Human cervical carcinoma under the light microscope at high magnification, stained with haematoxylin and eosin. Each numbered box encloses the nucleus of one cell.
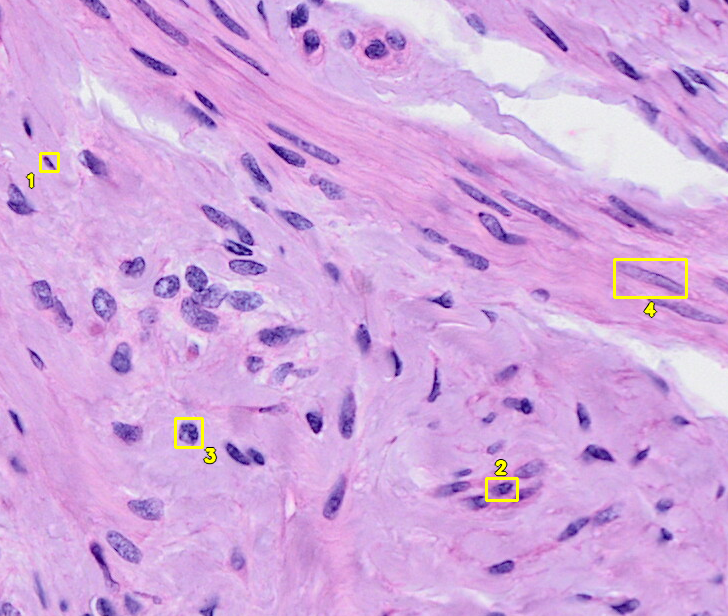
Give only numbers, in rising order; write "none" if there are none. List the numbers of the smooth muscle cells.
2, 4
